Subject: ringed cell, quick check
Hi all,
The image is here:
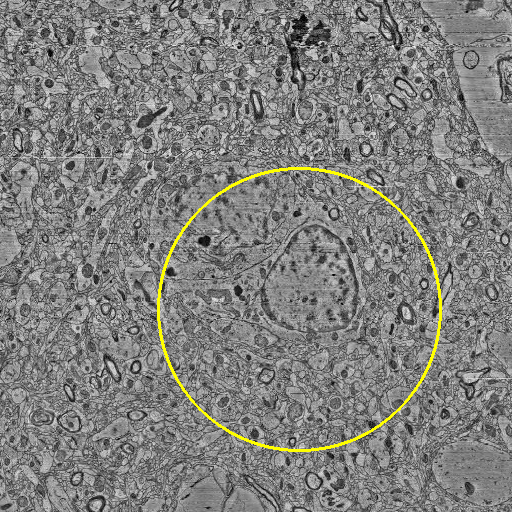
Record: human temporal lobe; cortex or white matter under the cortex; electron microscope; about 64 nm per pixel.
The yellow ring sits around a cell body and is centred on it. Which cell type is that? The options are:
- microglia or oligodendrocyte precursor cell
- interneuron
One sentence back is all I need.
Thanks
That ringed cell is a microglial cell or oligodendrocyte precursor cell.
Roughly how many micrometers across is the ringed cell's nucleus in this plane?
Approximately 7 micrometres long and 6 micrometres wide, in this plane.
